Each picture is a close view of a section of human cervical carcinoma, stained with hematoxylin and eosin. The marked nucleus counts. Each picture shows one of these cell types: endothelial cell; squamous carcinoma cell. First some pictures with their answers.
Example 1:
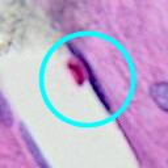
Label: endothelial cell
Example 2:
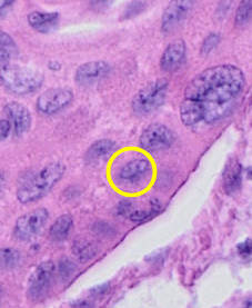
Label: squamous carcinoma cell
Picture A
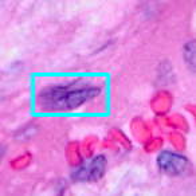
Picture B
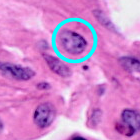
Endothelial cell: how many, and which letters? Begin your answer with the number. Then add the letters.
1: A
